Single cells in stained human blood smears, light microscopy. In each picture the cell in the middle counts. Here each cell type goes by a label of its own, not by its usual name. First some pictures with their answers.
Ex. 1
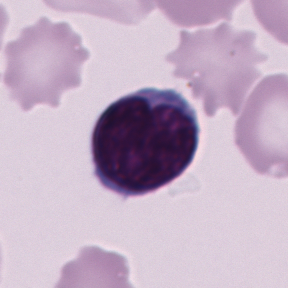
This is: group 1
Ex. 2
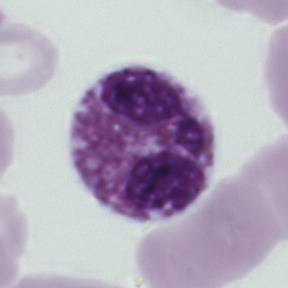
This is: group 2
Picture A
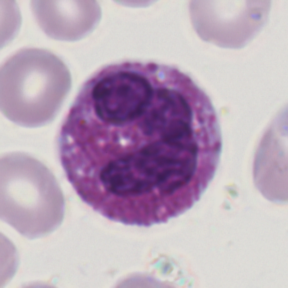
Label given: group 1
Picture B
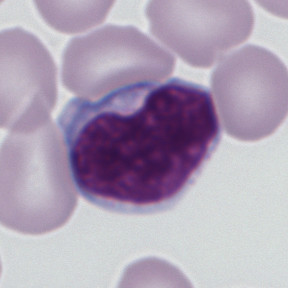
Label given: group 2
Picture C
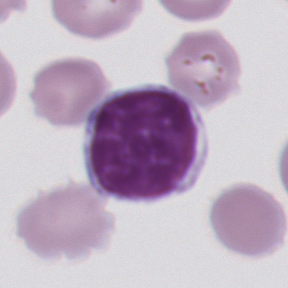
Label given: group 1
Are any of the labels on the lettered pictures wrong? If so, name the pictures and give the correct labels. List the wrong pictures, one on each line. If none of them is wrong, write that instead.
Wrong: A (group 1); correct: group 2
Wrong: B (group 2); correct: group 1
